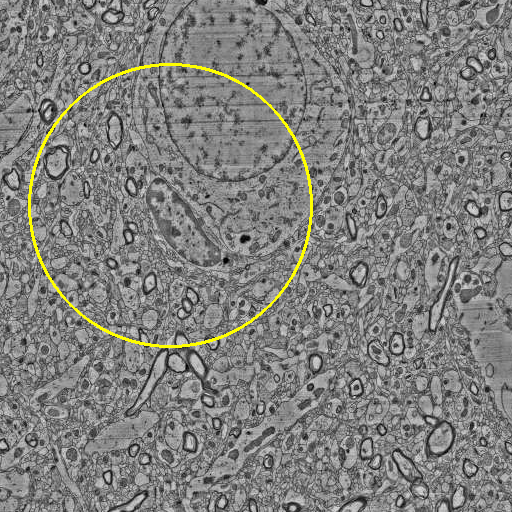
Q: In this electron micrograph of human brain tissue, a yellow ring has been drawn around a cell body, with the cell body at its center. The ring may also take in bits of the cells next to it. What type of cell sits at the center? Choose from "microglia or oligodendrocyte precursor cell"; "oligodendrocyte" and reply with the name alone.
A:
microglia or oligodendrocyte precursor cell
